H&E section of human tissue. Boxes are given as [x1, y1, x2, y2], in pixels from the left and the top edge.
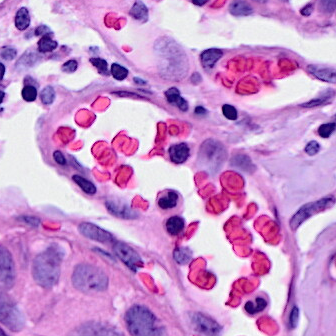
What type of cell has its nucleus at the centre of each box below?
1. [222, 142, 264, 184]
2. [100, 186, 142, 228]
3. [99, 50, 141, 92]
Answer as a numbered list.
1. endothelial cell
2. endothelial cell
3. lymphocyte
